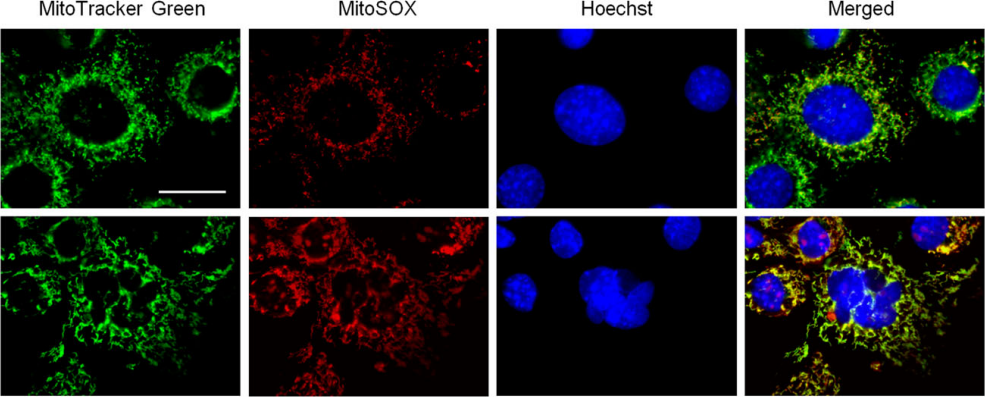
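The red channel gives a dotted pattern that follows the same network, and where both coincide the merged picture turns yellow to orange. In the lower row some nuclei look irregular or lobed, and the red dots are brighter and more plentiful, so the merged image there looks more orange than in the upper row.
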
